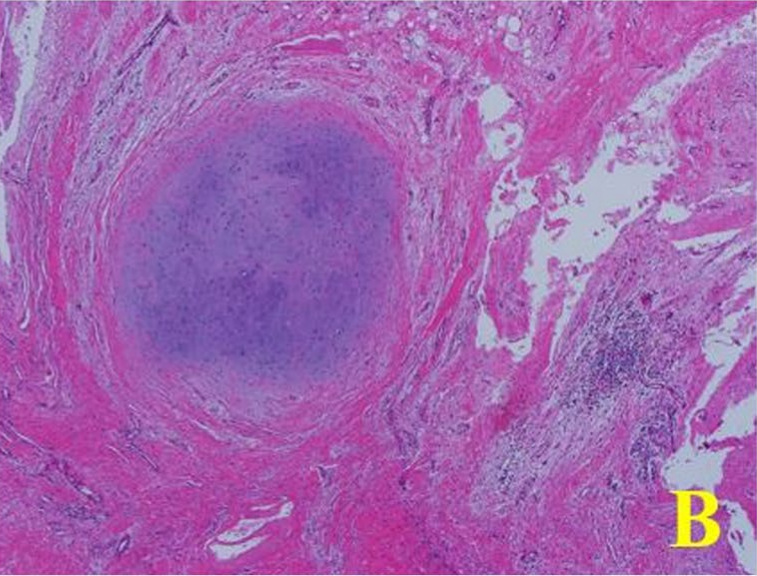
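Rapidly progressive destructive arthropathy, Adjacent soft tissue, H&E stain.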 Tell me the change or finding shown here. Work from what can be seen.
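Scattered cells sit within the bluish matrix. Concentric pink fibrous tissue surrounds the nodule.
Chondroid metaplasia.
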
